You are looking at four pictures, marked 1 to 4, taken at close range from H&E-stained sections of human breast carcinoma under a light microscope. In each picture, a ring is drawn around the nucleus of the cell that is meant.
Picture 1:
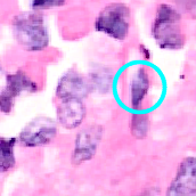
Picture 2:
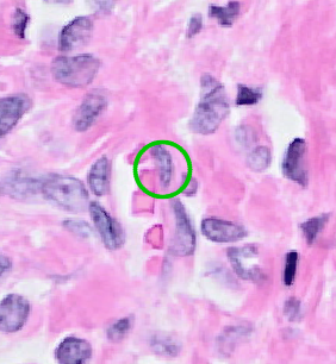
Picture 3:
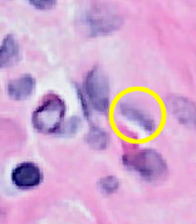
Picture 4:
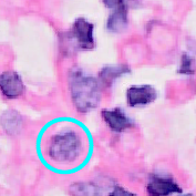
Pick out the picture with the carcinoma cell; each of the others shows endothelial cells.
4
